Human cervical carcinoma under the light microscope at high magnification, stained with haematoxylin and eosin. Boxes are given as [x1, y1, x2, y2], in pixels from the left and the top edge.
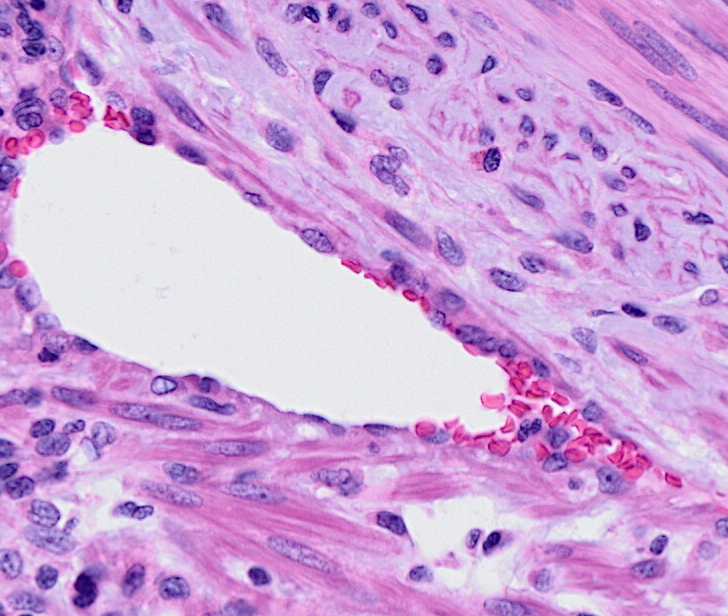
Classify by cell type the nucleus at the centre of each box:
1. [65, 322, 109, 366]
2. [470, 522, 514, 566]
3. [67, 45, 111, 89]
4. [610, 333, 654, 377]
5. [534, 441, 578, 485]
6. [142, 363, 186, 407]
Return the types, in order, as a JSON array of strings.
["endothelial cell", "lymphocyte", "endothelial cell", "smooth muscle cell", "endothelial cell", "endothelial cell"]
